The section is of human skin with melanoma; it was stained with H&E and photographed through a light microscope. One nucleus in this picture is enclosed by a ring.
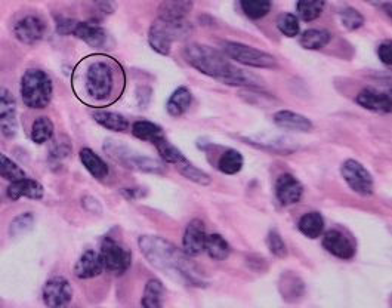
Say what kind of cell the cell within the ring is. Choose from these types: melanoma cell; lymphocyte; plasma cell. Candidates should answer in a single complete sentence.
In the stained section, the cell within the ring is a plasma cell.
